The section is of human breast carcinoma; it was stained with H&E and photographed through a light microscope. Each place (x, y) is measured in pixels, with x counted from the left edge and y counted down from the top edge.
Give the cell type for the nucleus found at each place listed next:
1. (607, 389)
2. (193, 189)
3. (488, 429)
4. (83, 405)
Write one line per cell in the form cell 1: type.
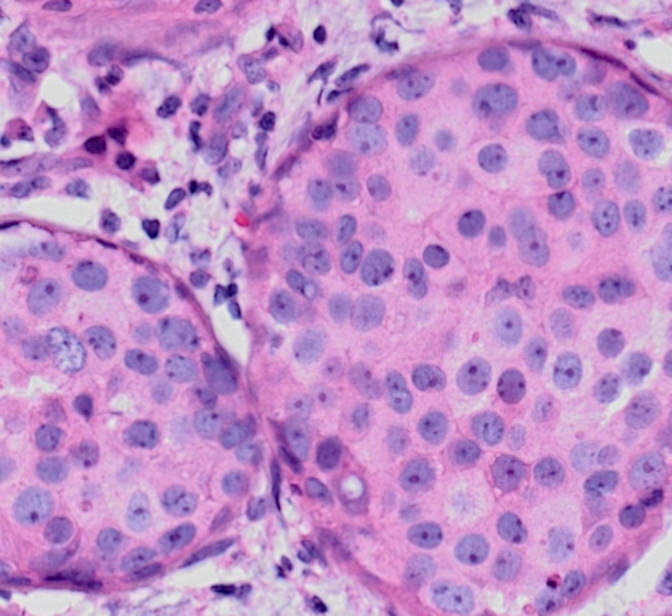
cell 1: carcinoma cell
cell 2: lymphocyte
cell 3: carcinoma cell
cell 4: carcinoma cell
